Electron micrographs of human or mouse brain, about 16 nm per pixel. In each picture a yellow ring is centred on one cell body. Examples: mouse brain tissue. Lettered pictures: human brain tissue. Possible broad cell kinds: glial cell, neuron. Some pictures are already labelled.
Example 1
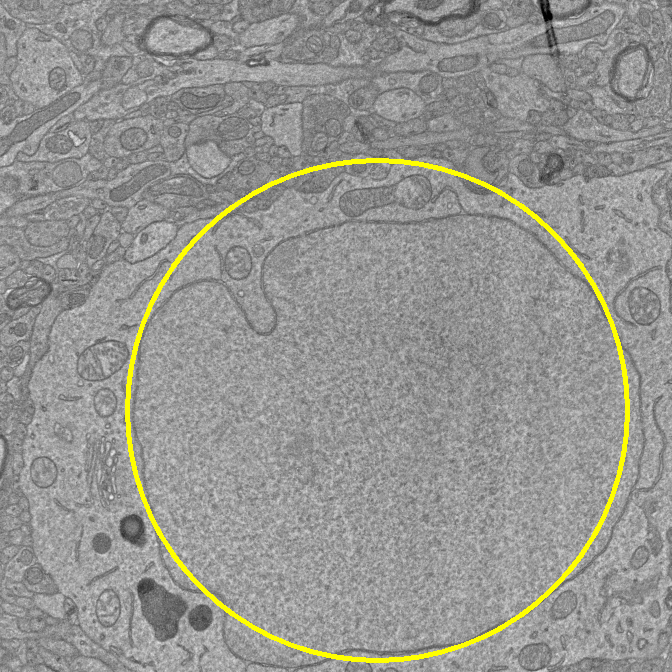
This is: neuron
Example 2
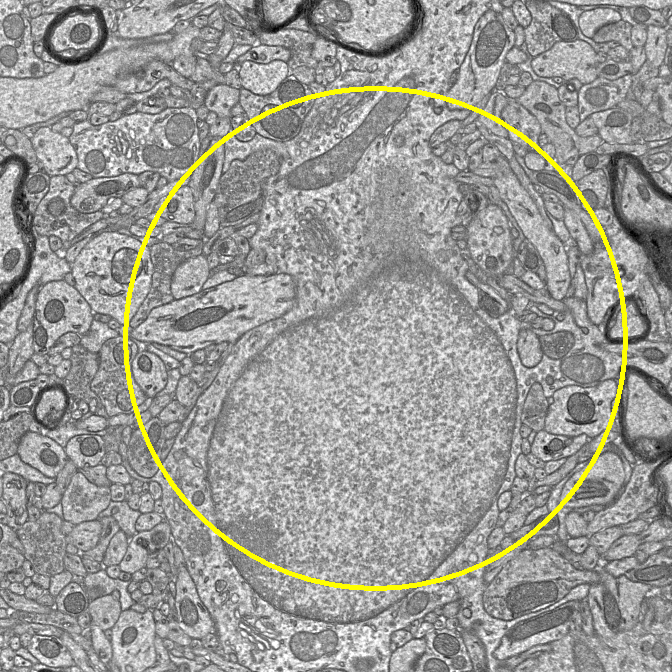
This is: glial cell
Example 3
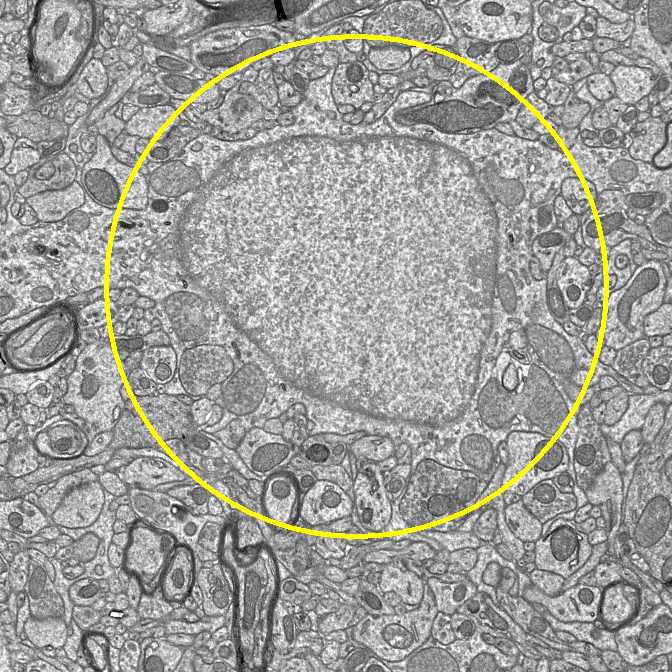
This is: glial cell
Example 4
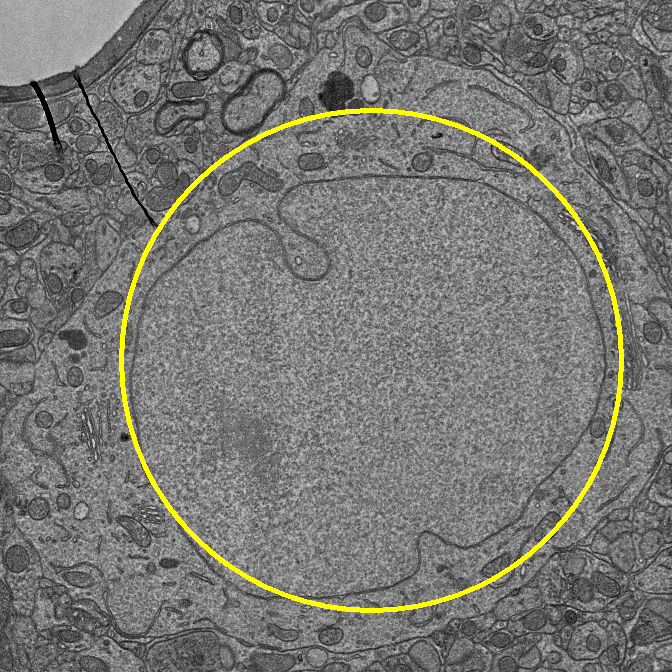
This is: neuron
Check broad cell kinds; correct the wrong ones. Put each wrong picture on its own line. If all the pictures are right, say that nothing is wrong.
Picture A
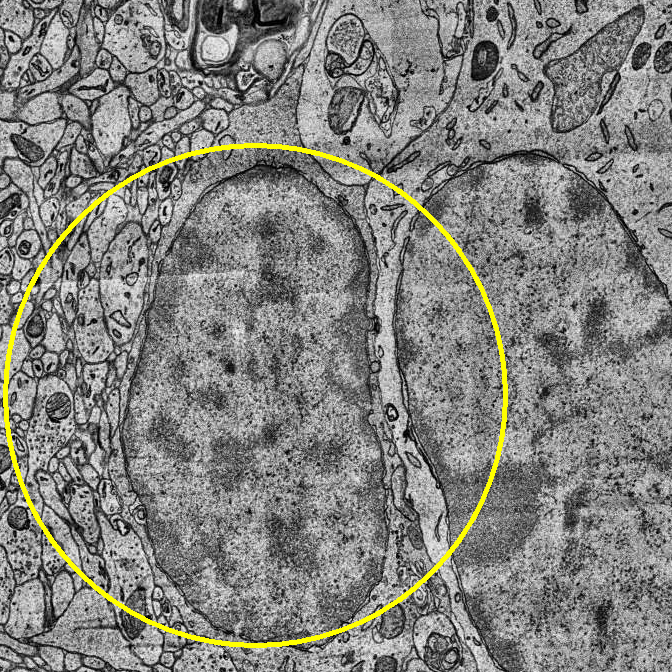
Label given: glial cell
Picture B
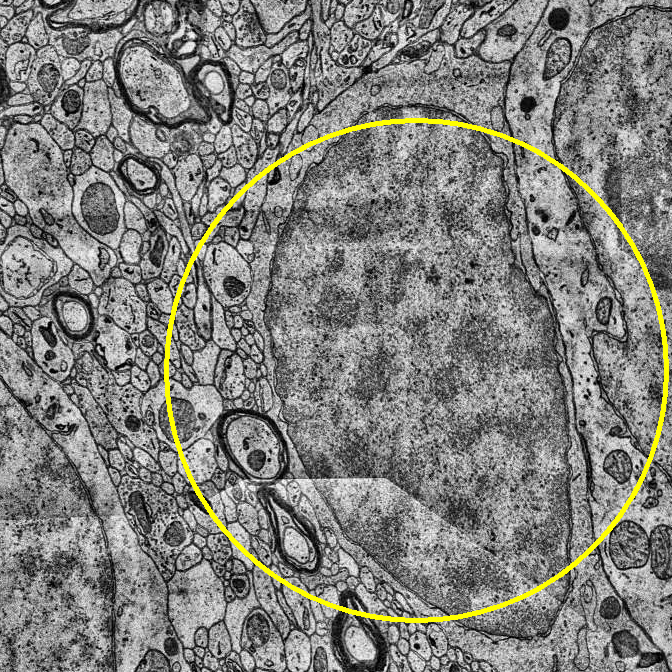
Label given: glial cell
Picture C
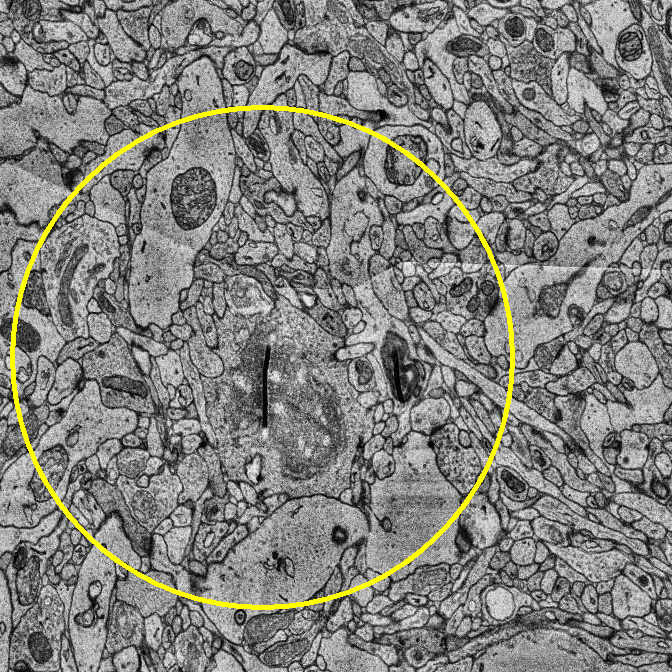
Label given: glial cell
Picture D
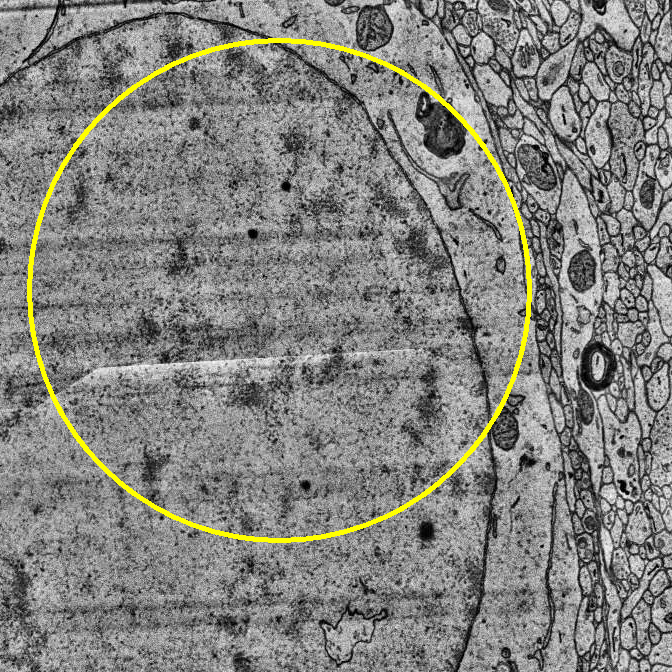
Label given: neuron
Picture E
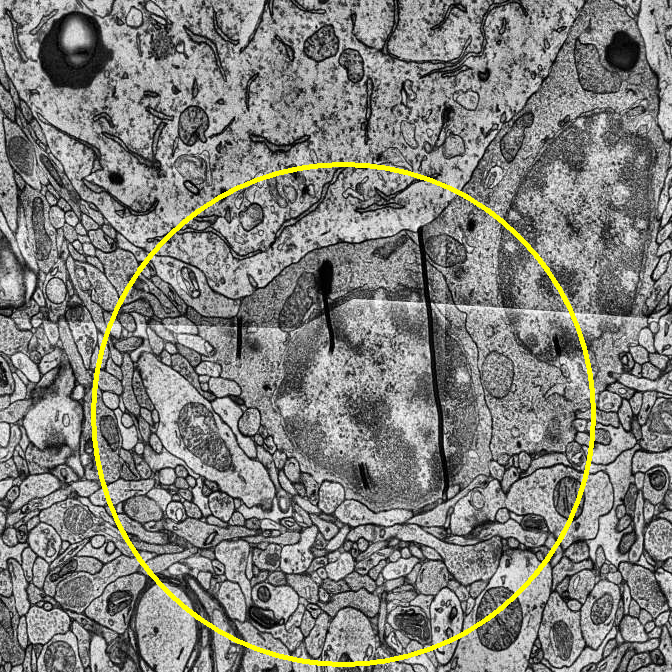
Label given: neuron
E: not neuron but glial cell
